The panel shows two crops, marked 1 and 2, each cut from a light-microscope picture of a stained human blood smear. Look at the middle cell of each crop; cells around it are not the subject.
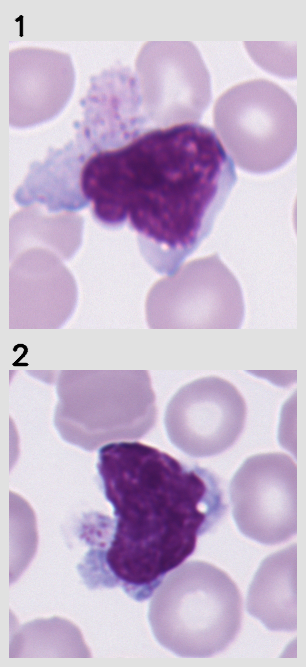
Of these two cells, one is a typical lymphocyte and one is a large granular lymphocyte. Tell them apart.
1: large granular lymphocyte
2: typical lymphocyte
